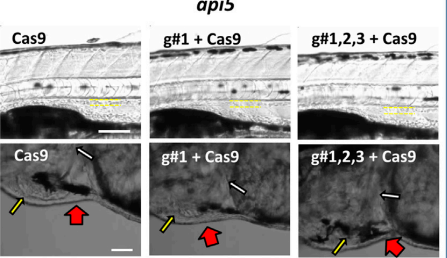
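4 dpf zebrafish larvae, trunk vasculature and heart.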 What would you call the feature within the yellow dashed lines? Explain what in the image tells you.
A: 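Dorsal aorta. In the upper row the dashed lines lie along a tube running the length of the trunk. The outlined tube lies below the segmented notochord.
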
